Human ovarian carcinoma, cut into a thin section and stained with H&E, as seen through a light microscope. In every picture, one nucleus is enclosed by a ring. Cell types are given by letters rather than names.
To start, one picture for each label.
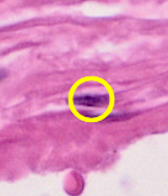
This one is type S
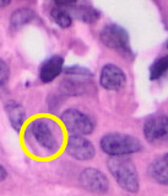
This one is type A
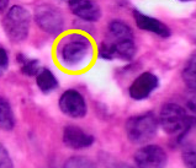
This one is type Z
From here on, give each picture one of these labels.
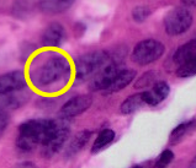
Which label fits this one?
type Z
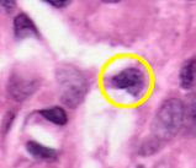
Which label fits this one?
type A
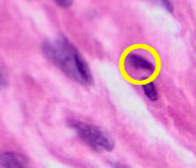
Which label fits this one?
type S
